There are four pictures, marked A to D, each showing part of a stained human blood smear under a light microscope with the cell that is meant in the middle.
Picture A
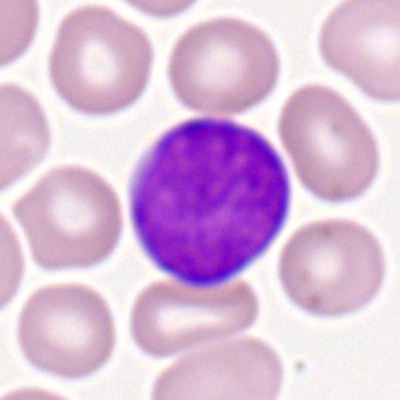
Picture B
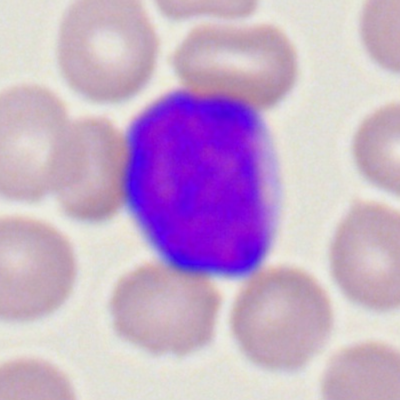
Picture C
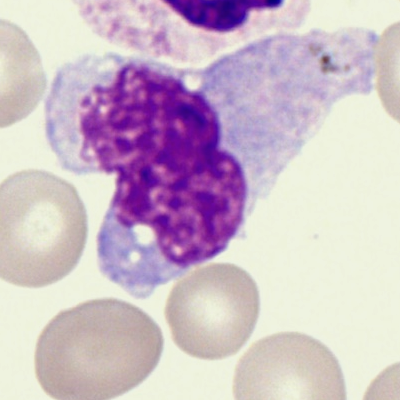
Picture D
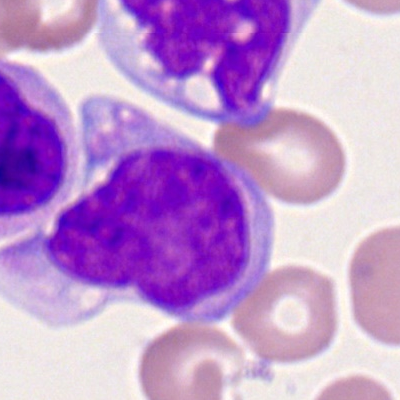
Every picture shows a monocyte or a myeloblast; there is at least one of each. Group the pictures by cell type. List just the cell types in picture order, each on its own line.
myeloblast
myeloblast
monocyte
monocyte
